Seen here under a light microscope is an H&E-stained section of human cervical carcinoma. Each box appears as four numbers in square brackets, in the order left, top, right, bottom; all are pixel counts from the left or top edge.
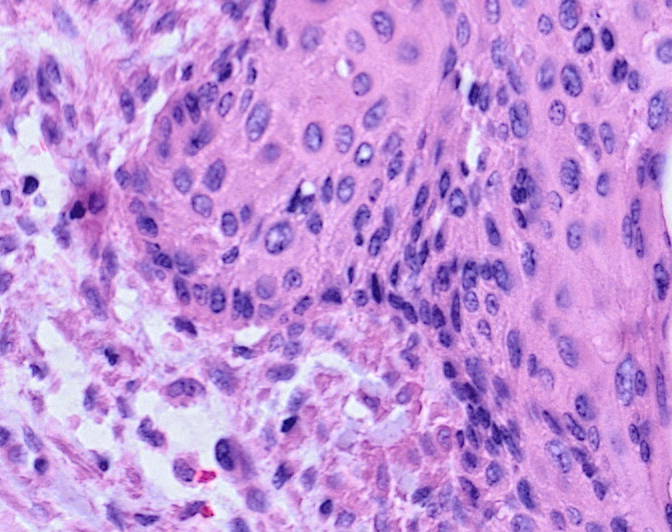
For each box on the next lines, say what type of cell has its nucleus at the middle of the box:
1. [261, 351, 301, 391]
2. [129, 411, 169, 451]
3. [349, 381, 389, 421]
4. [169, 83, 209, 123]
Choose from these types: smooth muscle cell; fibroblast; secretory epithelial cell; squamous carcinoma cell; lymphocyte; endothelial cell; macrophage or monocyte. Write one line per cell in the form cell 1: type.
cell 1: macrophage or monocyte
cell 2: macrophage or monocyte
cell 3: fibroblast
cell 4: squamous carcinoma cell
